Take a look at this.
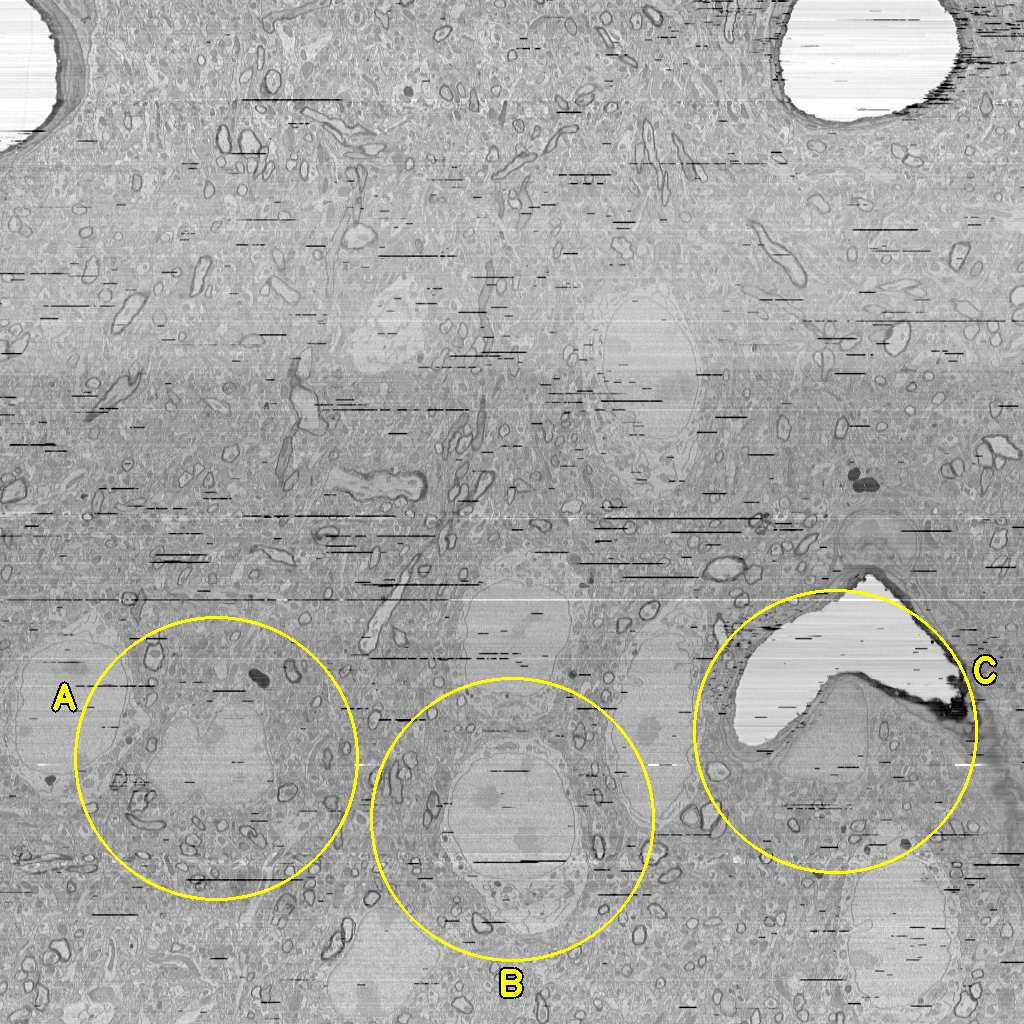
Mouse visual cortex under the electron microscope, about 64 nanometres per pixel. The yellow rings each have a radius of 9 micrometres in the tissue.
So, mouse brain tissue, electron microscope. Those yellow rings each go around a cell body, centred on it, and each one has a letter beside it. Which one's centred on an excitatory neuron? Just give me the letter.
B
